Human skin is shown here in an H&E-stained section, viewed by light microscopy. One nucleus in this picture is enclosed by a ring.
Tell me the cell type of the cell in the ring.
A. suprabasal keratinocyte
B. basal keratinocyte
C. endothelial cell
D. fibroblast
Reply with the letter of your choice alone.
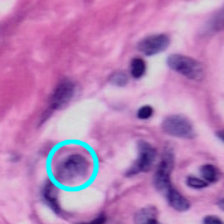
C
